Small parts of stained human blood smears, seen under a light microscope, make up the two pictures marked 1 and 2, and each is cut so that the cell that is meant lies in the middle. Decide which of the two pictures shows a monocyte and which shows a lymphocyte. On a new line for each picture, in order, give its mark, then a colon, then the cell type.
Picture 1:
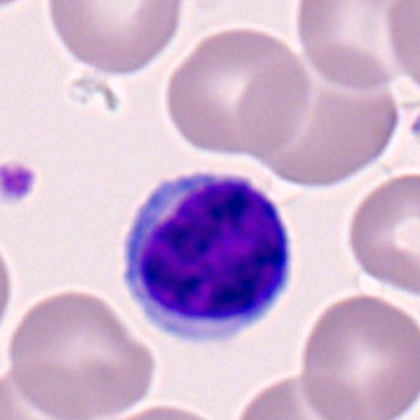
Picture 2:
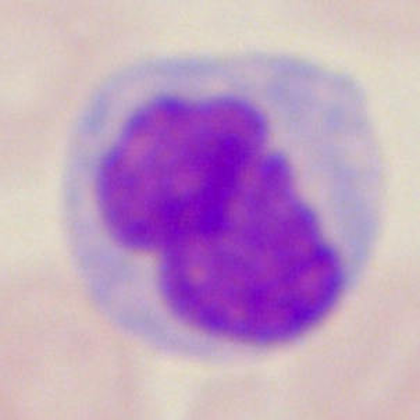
1: lymphocyte
2: monocyte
